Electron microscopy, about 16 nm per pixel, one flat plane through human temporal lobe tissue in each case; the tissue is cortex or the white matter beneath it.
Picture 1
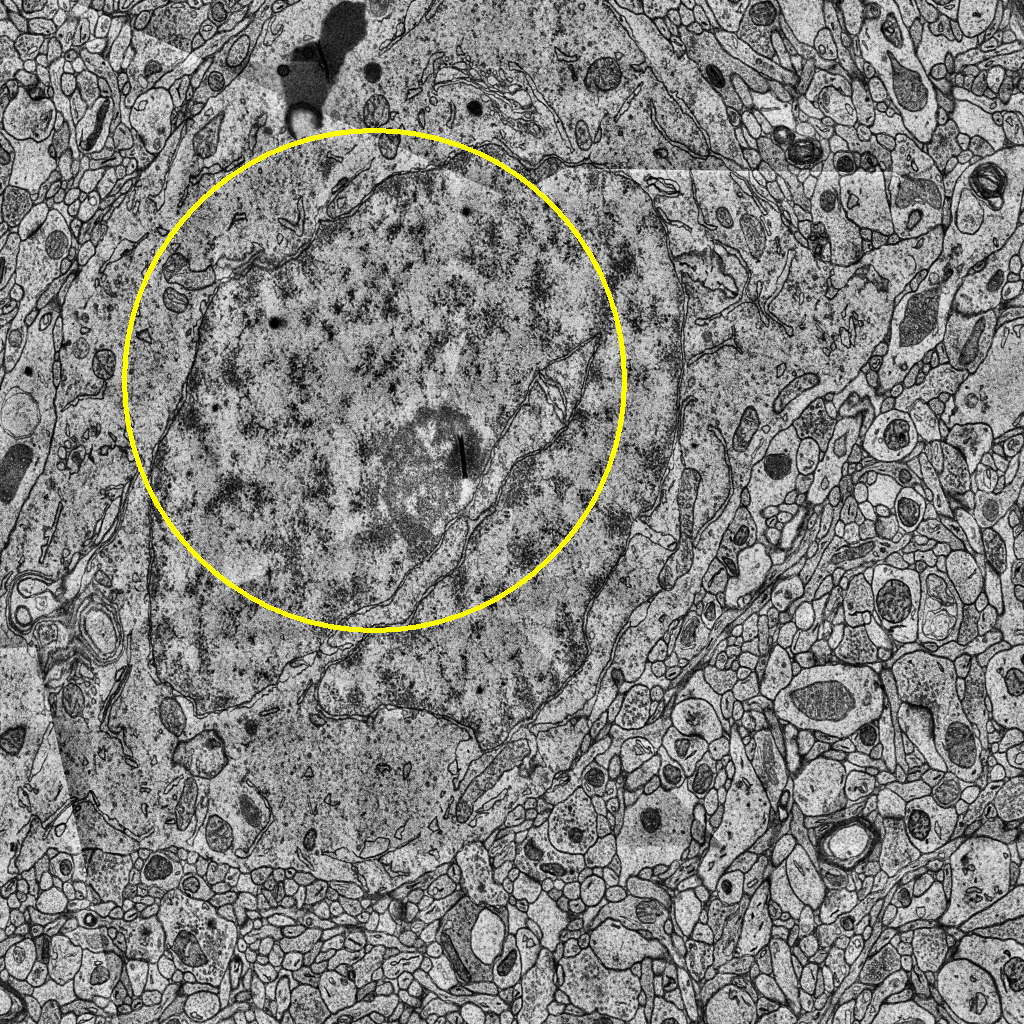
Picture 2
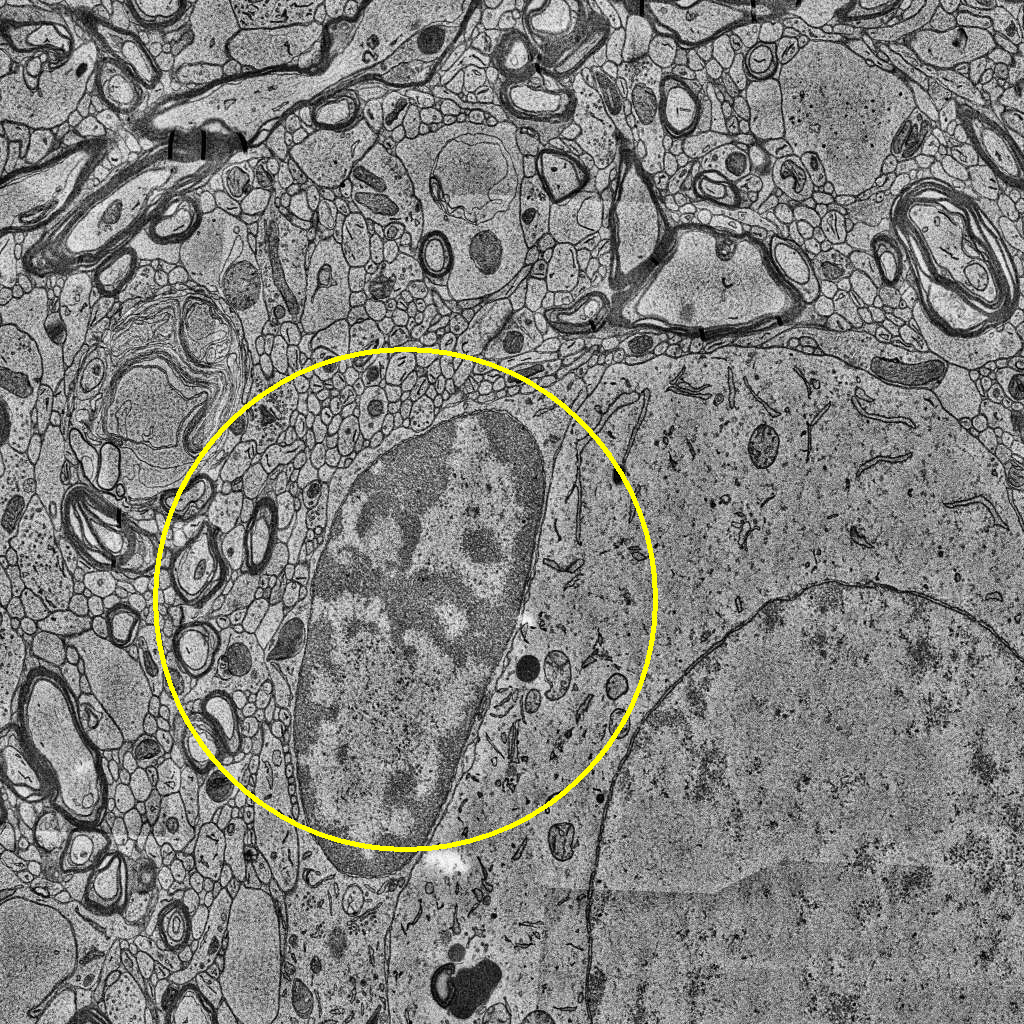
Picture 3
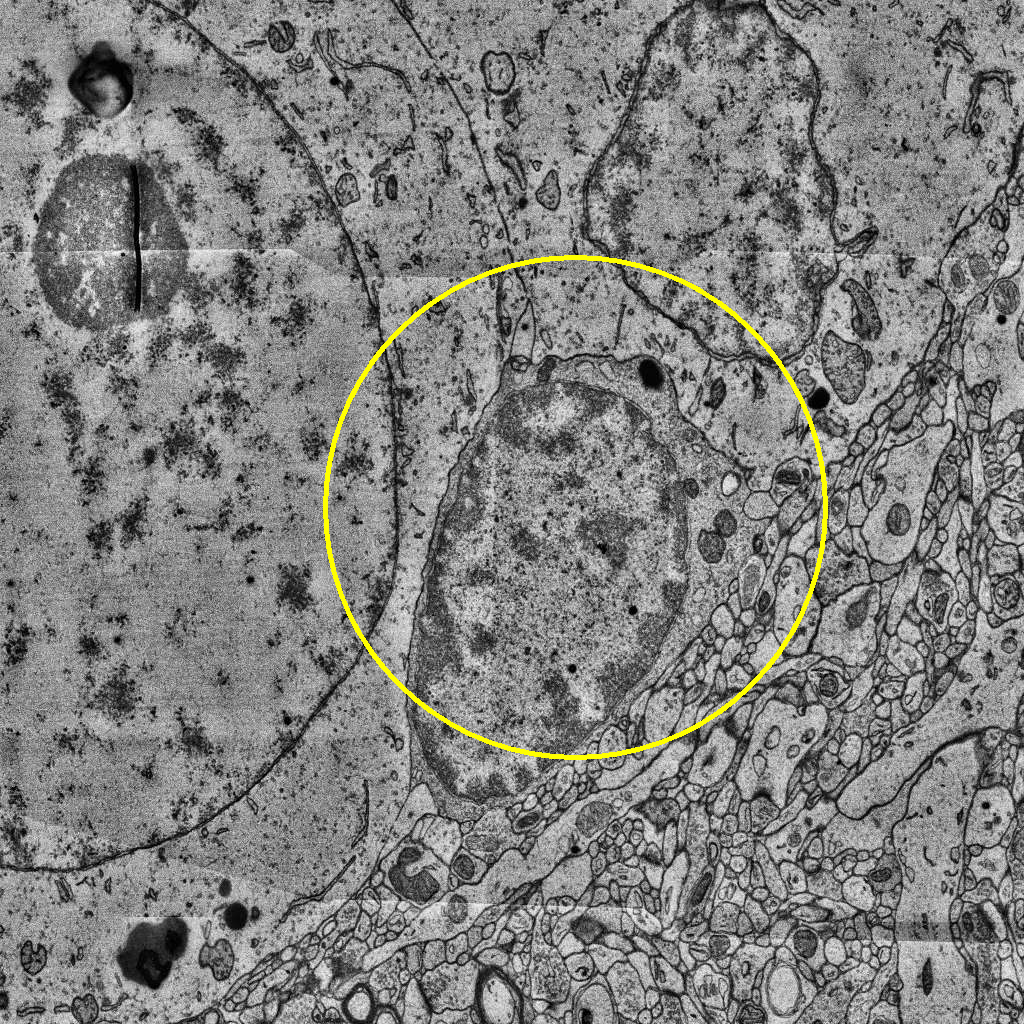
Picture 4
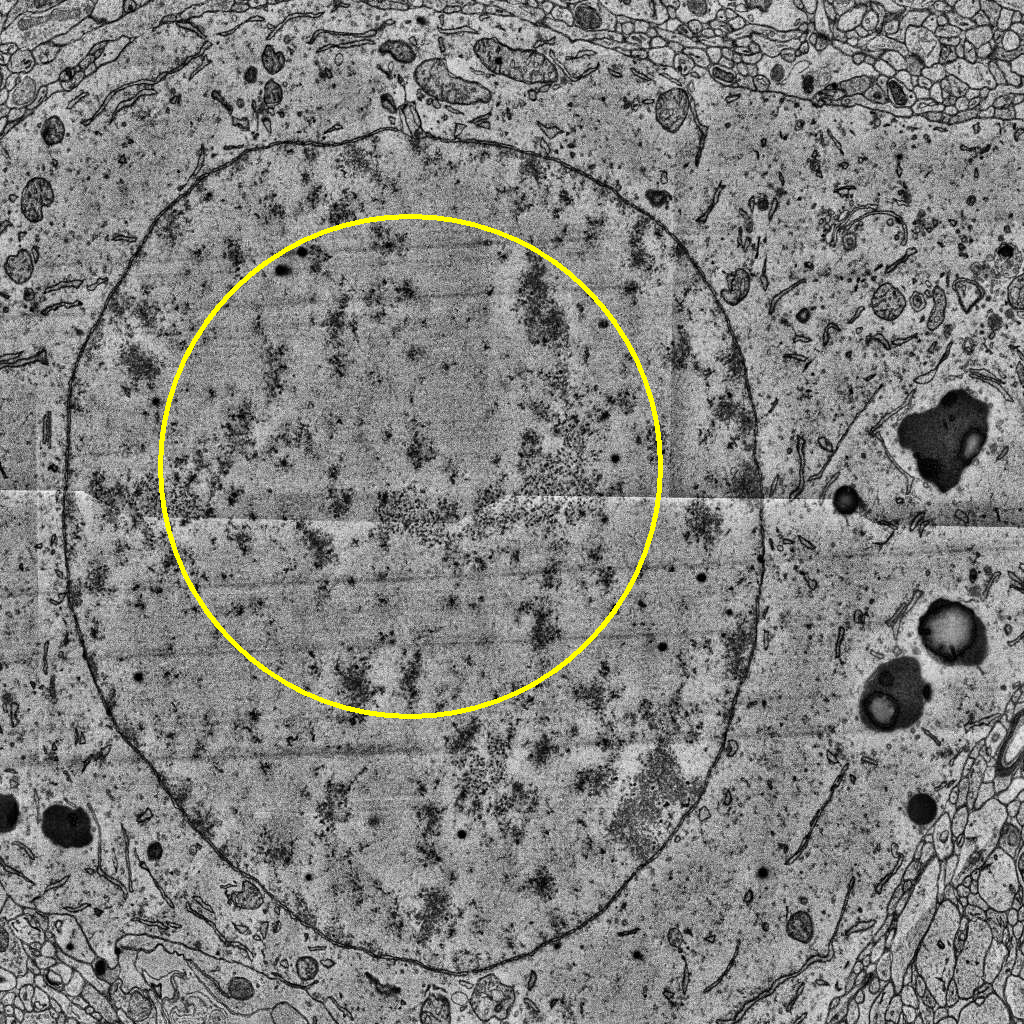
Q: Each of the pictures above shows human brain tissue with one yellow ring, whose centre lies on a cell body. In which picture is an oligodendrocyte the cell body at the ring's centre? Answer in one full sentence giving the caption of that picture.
Picture 3 is the one whose ring's centre lies on the cell in question.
